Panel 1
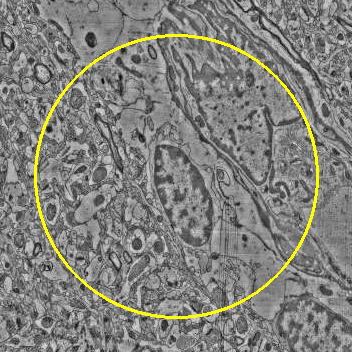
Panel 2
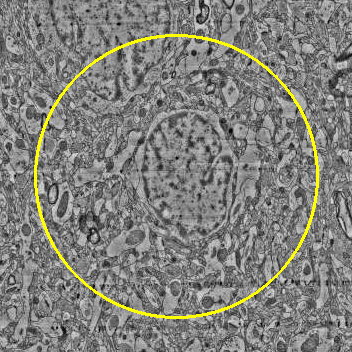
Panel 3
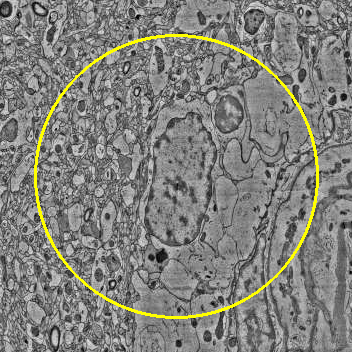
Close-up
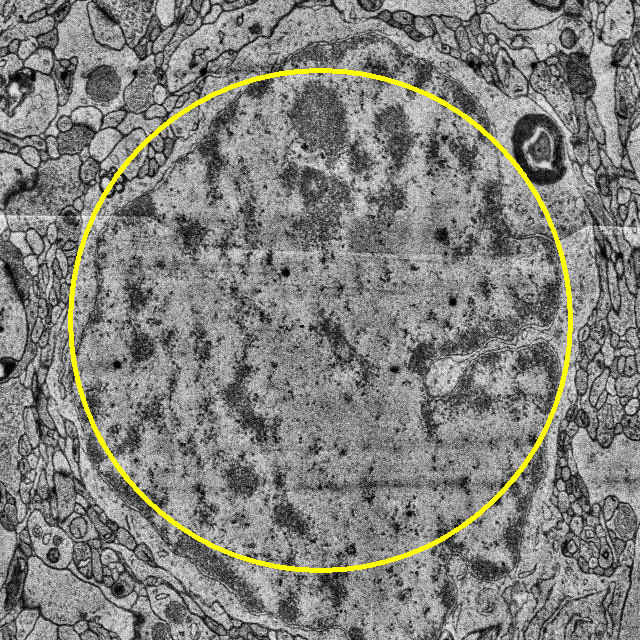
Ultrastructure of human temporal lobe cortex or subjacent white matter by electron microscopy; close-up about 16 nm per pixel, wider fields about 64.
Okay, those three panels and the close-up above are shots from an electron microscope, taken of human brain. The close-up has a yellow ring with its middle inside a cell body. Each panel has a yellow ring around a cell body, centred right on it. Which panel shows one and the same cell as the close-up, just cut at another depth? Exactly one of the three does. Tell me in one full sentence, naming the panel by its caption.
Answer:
The higher magnification view shows the cell circled in Panel 2.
